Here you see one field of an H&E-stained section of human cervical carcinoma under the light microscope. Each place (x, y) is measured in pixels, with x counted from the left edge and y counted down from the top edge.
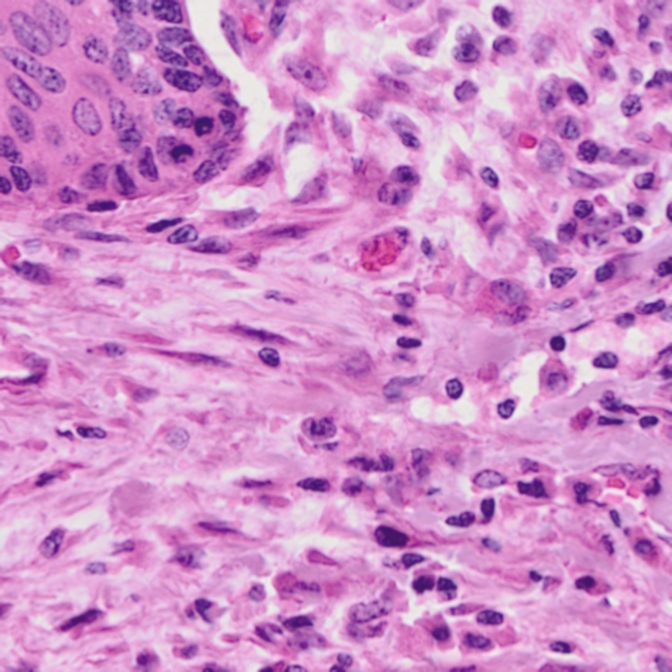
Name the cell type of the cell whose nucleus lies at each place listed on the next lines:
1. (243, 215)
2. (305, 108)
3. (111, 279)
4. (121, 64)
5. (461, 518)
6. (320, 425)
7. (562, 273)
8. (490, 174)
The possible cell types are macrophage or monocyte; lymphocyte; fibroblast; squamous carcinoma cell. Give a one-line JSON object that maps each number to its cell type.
{"1": "fibroblast", "2": "fibroblast", "3": "fibroblast", "4": "squamous carcinoma cell", "5": "lymphocyte", "6": "macrophage or monocyte", "7": "lymphocyte", "8": "lymphocyte"}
